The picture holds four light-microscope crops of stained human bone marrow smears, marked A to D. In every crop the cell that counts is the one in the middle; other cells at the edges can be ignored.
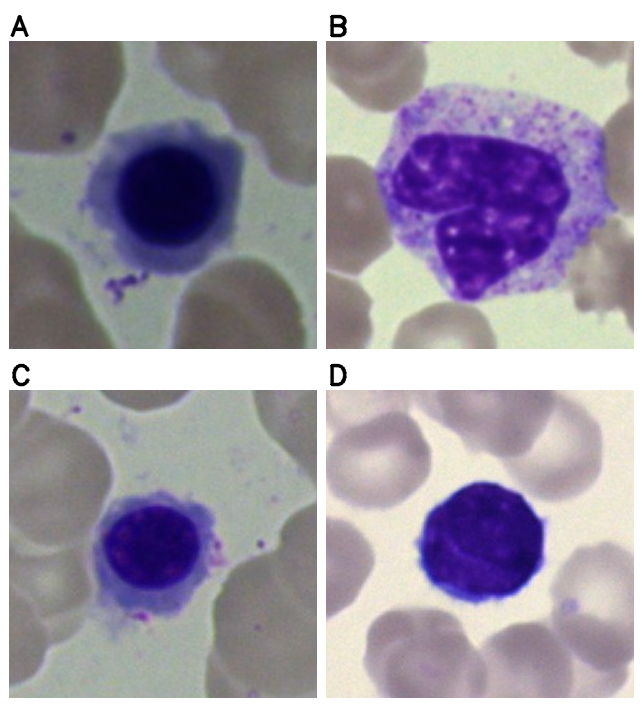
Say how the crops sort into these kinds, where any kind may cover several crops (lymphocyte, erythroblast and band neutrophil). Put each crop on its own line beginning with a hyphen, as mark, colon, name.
- A: erythroblast
- B: band neutrophil
- C: erythroblast
- D: lymphocyte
